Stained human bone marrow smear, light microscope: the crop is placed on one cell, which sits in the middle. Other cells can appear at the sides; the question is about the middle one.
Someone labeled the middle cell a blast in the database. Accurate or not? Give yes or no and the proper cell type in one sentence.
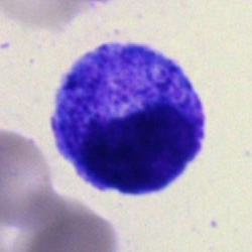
No, looking at the central cell, it is a promyelocyte rather than a blast.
